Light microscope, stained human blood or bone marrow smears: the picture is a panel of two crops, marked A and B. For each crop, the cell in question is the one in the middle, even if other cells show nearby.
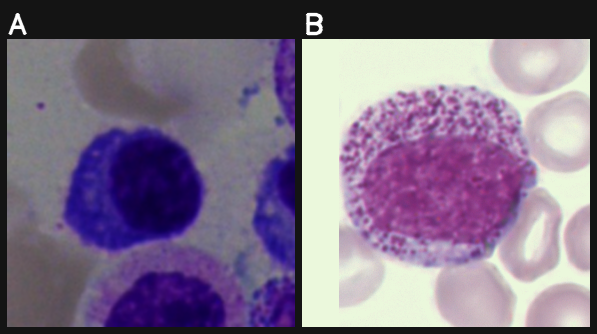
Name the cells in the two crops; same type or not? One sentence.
No, on this set crop A shows a plasma cell and crop B shows a promyelocyte.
